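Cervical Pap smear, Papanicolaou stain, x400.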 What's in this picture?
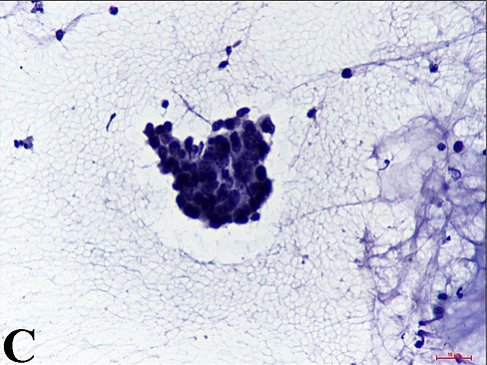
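The nuclei are dark blue, crowded and press against one another so that their outlines conform to their neighbours. Very little cytoplasm is seen around the nuclei. The cluster sits in a pale, finely reticulated background with a few scattered single cells and some strands of mucus-like material.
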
